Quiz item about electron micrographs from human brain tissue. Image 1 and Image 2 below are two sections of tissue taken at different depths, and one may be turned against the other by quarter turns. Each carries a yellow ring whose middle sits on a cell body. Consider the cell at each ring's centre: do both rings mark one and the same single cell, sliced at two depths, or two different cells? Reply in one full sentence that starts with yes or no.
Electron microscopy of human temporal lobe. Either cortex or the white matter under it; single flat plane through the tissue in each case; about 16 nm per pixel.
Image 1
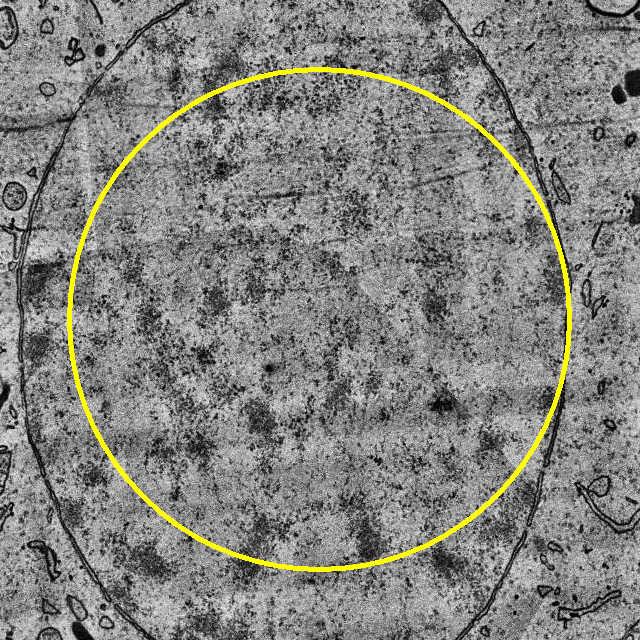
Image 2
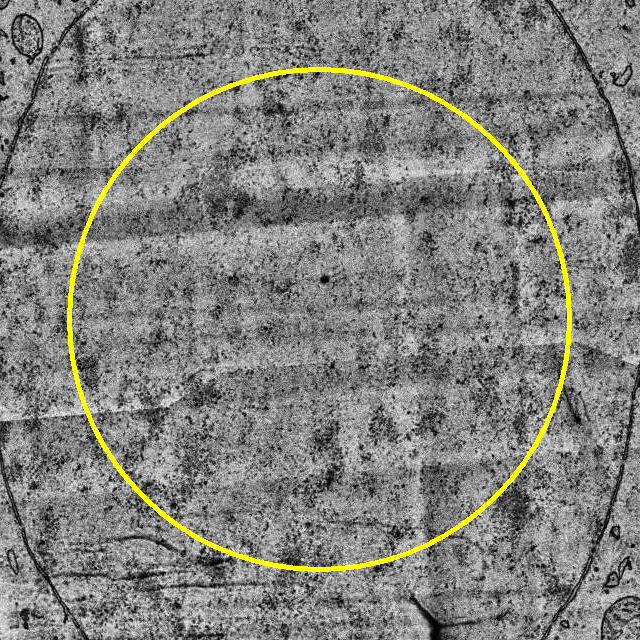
Yes, the same cell appears within both yellow rings.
